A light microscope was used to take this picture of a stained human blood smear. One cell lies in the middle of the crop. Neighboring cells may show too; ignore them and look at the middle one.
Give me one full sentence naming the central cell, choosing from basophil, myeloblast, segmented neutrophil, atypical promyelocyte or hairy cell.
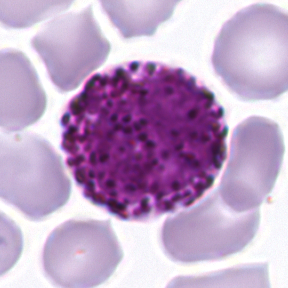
The cell that lies at the centre of the crop is a basophil.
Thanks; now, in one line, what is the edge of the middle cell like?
The outline traces a smooth curve with no projections along it.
